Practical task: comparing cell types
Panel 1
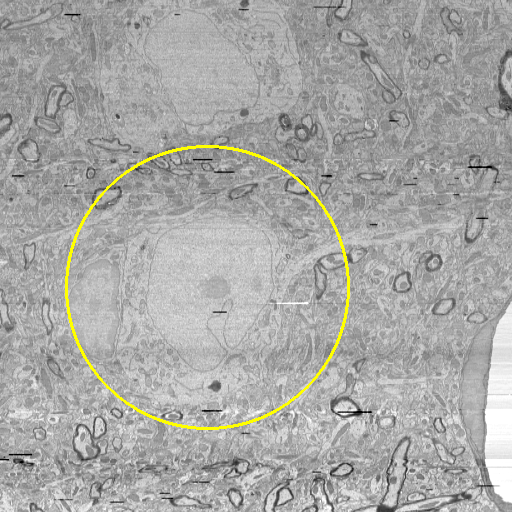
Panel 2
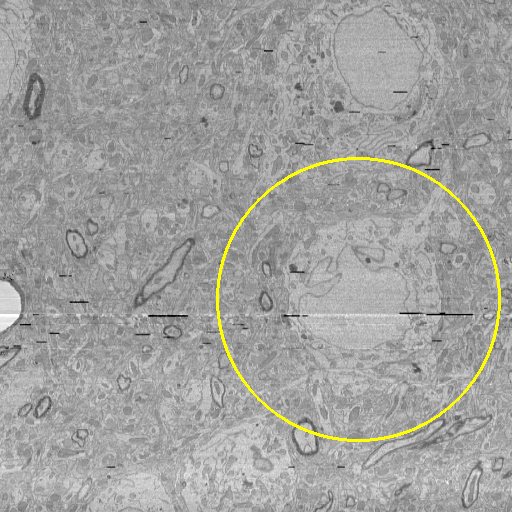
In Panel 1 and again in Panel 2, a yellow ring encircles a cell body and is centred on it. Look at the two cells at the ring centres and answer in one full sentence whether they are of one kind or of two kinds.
The two cells sitting at the ring centres of Panels 1 and 2 are of one kind.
